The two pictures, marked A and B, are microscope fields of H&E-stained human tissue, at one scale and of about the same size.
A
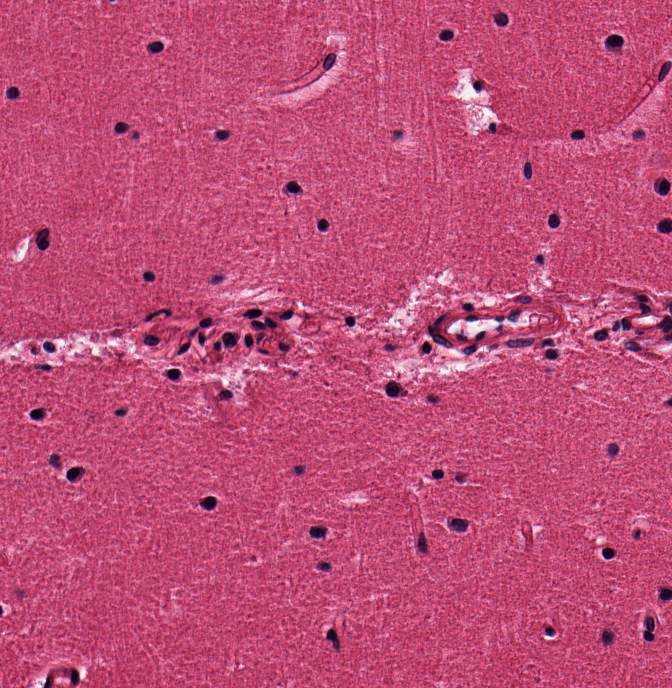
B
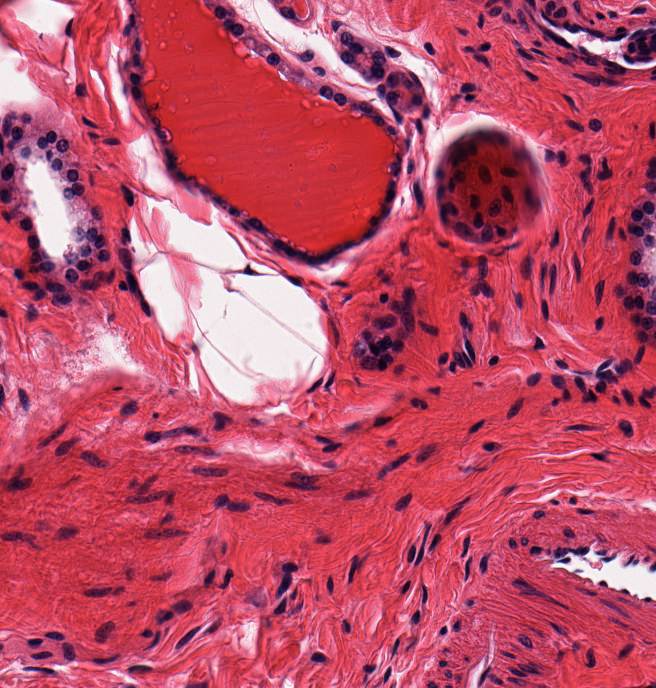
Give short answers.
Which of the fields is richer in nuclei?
B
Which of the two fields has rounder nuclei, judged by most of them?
A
